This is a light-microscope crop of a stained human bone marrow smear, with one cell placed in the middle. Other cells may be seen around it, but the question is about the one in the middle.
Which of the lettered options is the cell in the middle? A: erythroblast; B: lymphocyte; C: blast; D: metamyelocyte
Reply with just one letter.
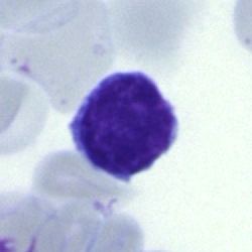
B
